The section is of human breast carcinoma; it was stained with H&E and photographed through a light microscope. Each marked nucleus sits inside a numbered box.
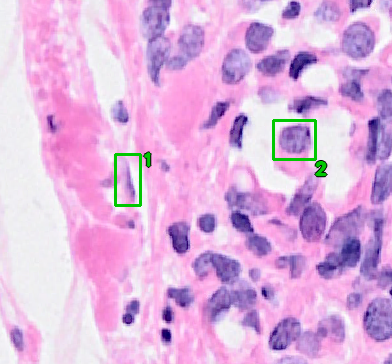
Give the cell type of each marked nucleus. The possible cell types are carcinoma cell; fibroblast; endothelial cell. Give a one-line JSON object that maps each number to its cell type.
{"1": "fibroblast", "2": "carcinoma cell"}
